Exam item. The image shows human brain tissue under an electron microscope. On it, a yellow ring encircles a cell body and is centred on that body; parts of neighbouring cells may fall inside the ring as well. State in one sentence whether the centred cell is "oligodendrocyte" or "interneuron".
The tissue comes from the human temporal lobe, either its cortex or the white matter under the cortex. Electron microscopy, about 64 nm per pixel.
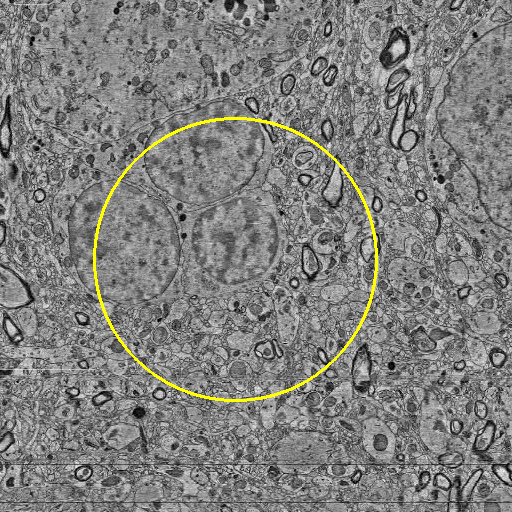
The cell body centred in the ring is an oligodendrocyte.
